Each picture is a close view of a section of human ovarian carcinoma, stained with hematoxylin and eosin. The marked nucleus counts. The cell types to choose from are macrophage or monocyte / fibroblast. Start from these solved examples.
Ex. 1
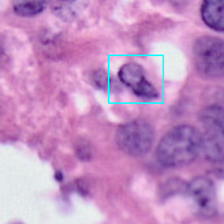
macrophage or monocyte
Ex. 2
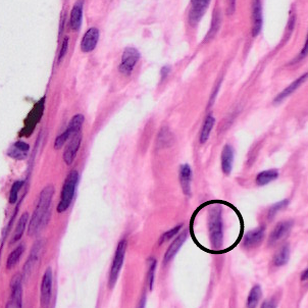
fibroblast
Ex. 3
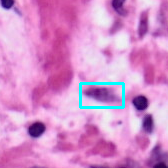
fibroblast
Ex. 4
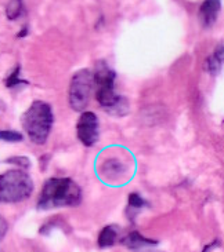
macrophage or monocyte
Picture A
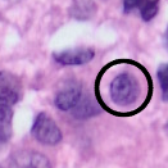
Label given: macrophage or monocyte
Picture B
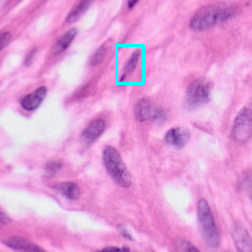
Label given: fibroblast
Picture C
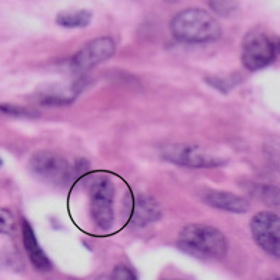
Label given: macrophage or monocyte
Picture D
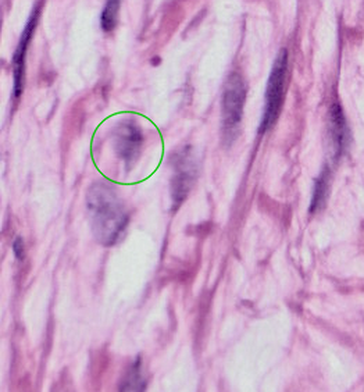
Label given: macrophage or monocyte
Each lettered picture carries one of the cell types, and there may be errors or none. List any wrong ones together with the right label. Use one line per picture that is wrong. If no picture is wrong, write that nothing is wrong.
D is labelled macrophage or monocyte; correct label: fibroblast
